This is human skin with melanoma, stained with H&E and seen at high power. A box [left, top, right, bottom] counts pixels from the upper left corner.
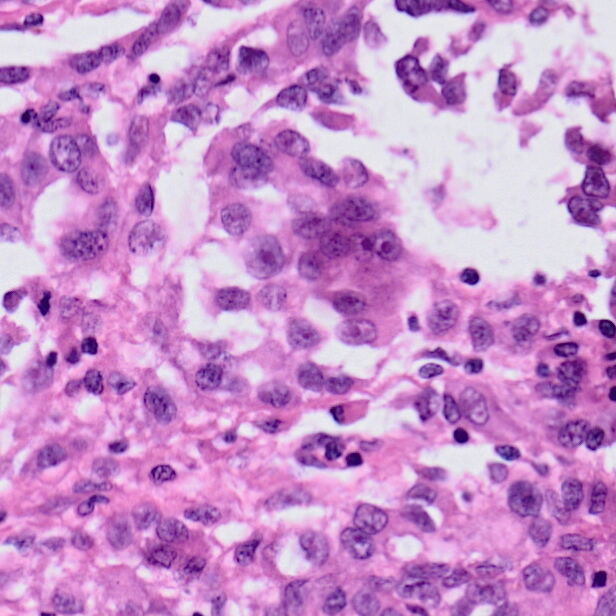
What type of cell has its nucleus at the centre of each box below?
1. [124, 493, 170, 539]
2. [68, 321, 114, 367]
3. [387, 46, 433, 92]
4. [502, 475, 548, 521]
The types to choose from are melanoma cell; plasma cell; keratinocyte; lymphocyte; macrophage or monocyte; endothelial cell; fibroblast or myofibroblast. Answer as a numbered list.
1. melanoma cell
2. lymphocyte
3. melanoma cell
4. melanoma cell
